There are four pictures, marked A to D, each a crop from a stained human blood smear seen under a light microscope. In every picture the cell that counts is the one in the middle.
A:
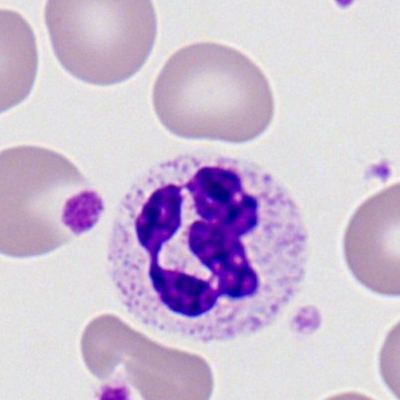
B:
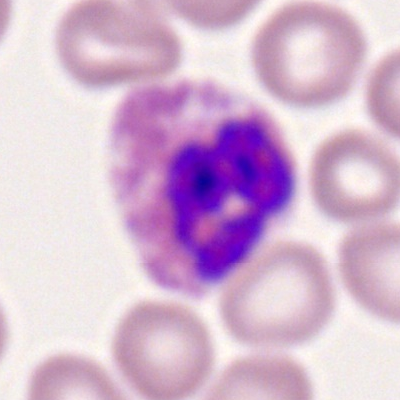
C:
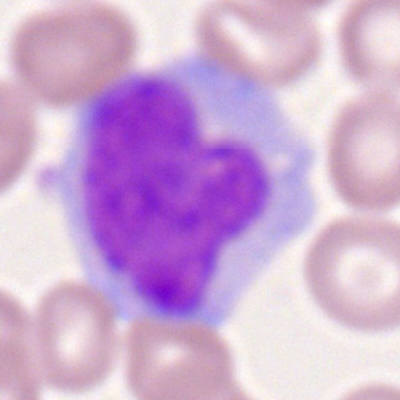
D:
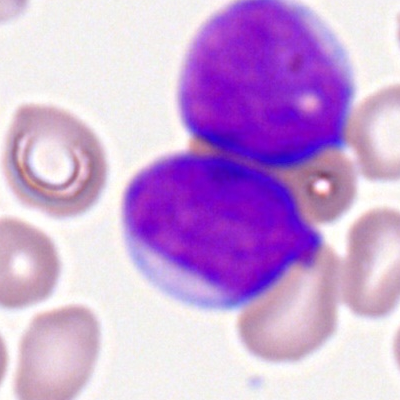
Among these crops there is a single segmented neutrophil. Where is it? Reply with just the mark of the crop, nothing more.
A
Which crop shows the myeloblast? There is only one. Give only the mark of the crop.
D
